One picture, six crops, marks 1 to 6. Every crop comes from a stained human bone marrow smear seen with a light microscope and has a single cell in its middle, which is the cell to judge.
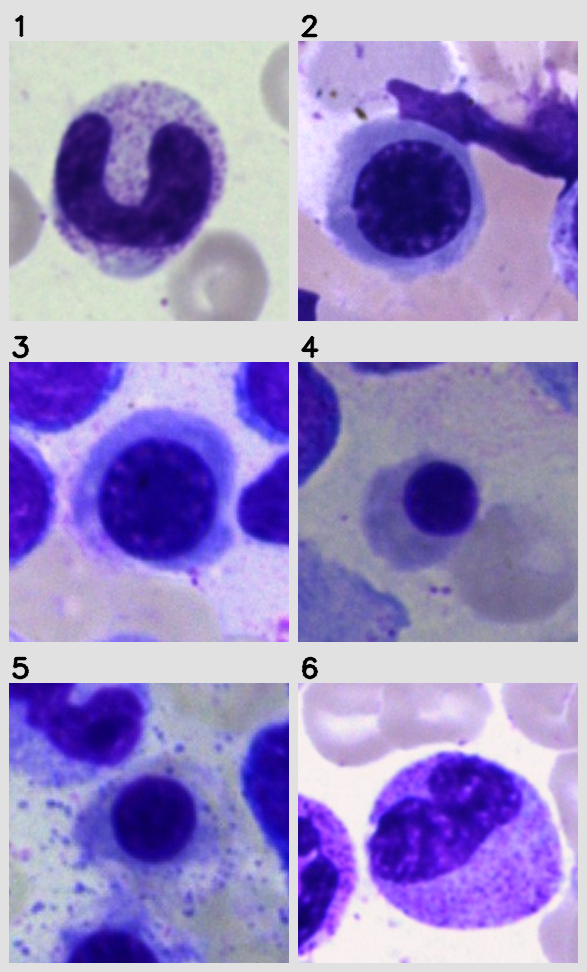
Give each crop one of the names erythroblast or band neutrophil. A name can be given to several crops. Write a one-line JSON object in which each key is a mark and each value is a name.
{"1": "band neutrophil", "2": "erythroblast", "3": "erythroblast", "4": "erythroblast", "5": "erythroblast", "6": "band neutrophil"}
